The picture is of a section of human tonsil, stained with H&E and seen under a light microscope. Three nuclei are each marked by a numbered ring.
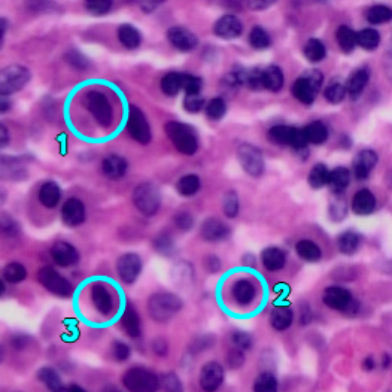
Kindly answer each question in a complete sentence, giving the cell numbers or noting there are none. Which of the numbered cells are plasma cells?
Cells 2 and 3 are recognised here as plasma cells.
